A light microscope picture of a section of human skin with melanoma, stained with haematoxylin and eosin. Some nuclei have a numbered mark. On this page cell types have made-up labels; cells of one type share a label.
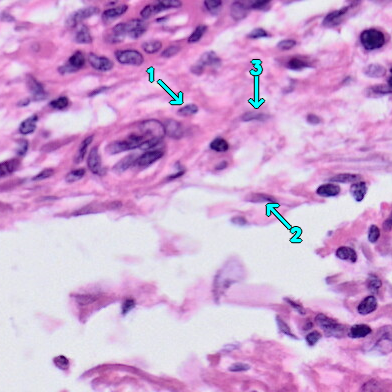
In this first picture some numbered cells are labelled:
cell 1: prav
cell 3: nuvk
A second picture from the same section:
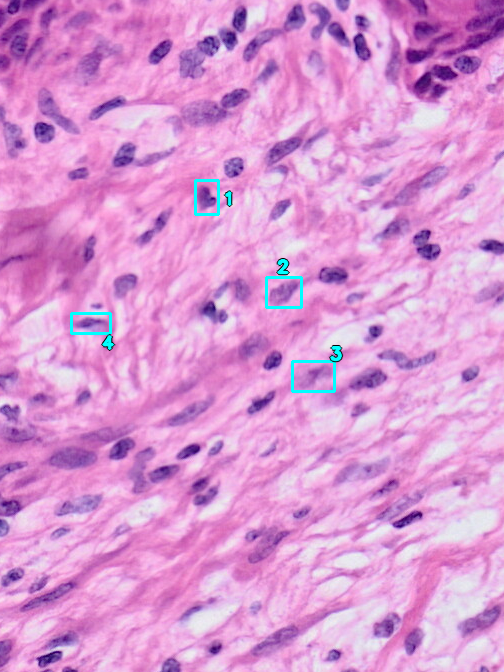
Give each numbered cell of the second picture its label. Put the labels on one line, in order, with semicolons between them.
prav; nuvk; nuvk; nuvk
